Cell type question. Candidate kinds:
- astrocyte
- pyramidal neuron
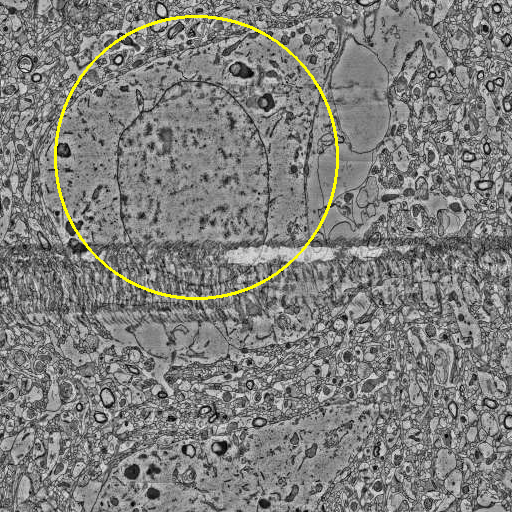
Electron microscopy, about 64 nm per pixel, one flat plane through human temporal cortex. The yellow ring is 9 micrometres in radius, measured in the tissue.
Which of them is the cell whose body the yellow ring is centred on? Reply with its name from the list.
pyramidal neuron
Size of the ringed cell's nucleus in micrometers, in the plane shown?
Roughly 13 by 10 micrometres in this plane, for the nucleus of the ringed cell.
